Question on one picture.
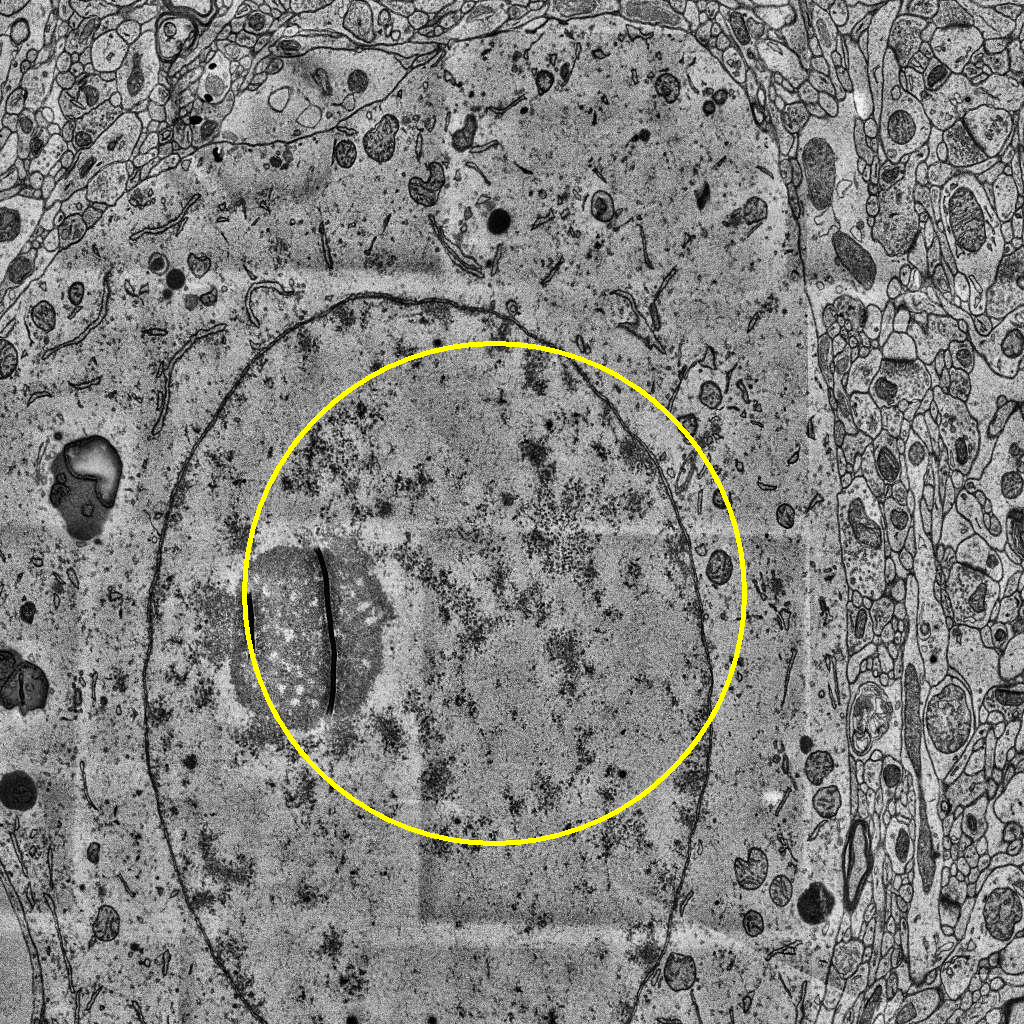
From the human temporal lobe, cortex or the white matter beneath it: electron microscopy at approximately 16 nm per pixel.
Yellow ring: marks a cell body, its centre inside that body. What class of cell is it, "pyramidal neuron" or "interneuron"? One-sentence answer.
This is a pyramidal neuron, the cell at the ring's centre.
